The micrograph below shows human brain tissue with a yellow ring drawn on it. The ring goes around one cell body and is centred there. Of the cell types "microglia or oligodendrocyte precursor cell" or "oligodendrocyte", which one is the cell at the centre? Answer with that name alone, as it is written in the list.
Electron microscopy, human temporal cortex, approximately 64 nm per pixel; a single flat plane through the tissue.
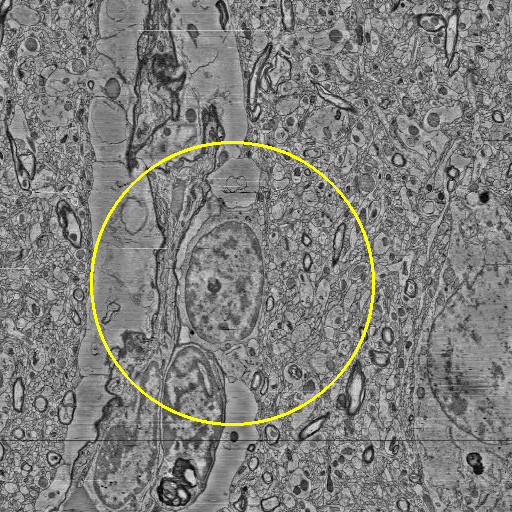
oligodendrocyte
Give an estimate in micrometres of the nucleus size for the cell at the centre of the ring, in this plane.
In this plane the nucleus is about 7 micrometres by 5.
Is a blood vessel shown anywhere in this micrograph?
Yes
